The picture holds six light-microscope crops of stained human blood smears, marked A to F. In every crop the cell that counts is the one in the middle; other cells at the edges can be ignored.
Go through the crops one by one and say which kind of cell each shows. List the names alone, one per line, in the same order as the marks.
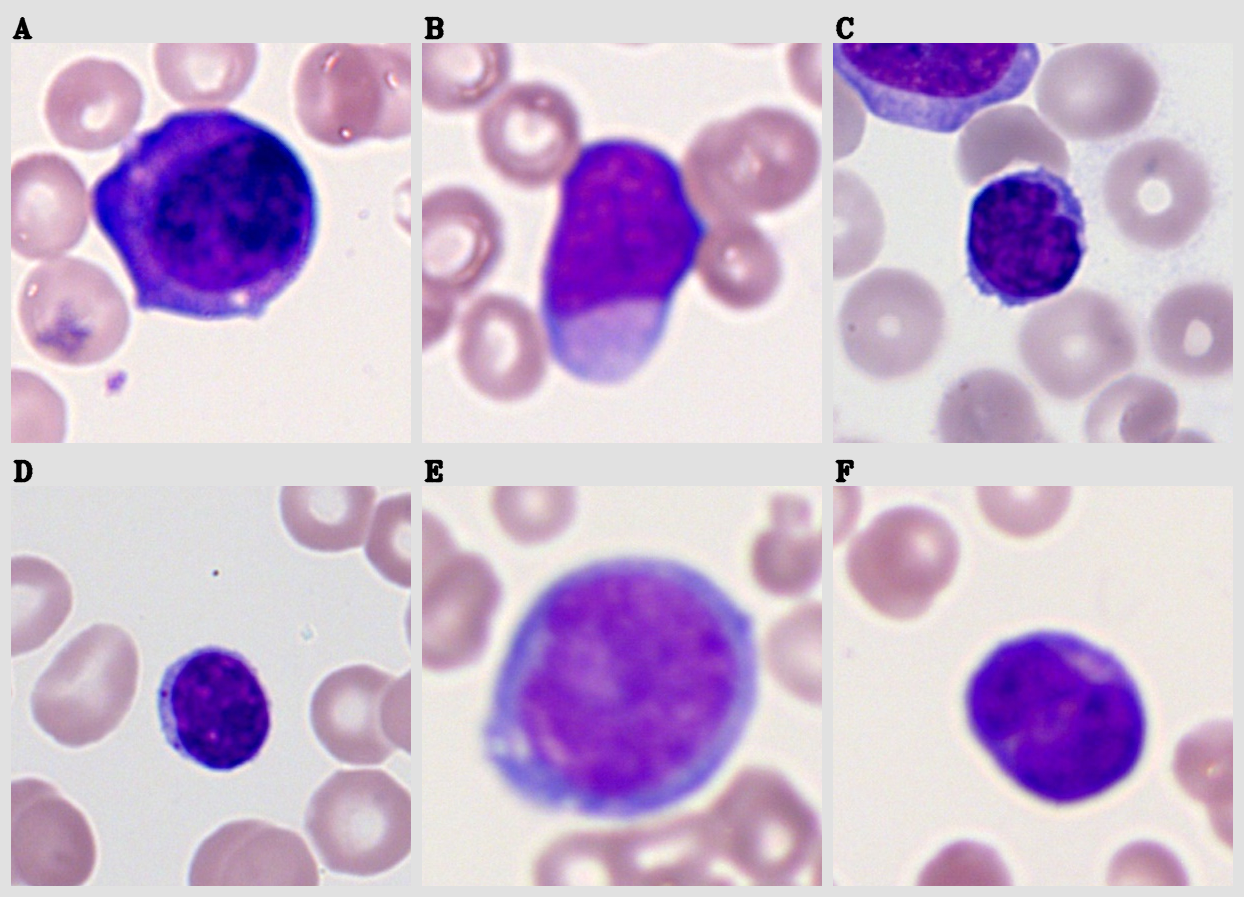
blast
blast
lymphocyte
lymphocyte
blast
blast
